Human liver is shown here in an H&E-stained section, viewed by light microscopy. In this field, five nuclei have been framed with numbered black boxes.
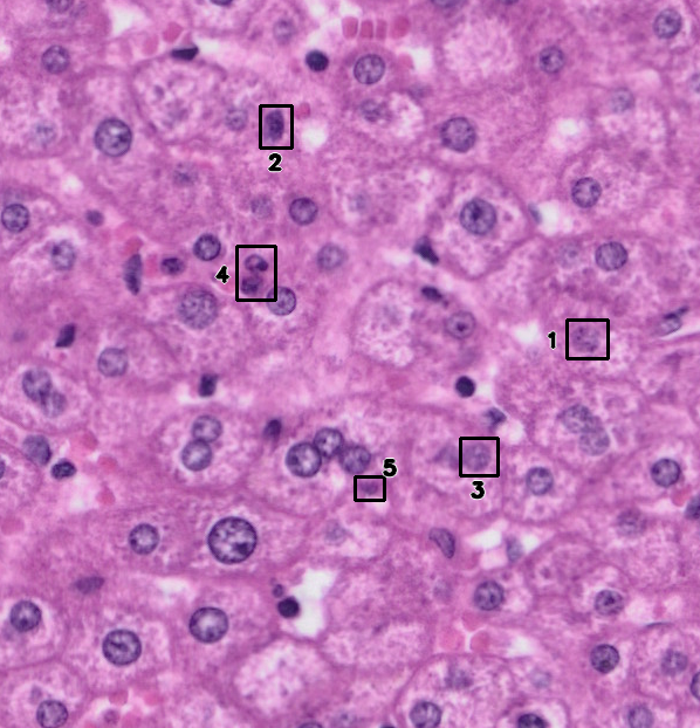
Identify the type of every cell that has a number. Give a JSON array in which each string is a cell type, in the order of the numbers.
["hepatocyte", "fibroblast or stellate cell", "hepatocyte", "Kupffer cell", "Kupffer cell"]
